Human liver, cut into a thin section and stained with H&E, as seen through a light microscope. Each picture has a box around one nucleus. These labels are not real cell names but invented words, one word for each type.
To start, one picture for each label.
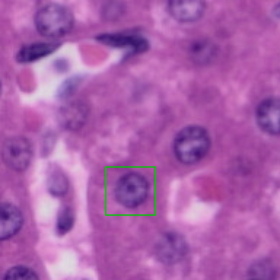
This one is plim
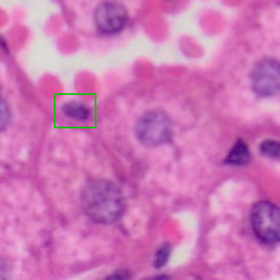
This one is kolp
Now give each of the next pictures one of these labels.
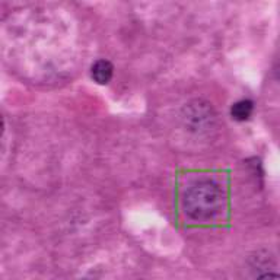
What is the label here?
plim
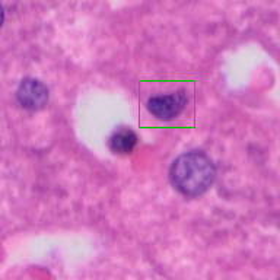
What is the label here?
kolp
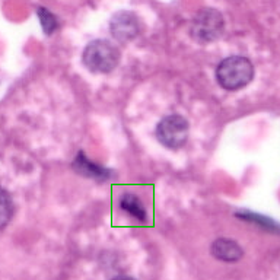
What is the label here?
kolp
